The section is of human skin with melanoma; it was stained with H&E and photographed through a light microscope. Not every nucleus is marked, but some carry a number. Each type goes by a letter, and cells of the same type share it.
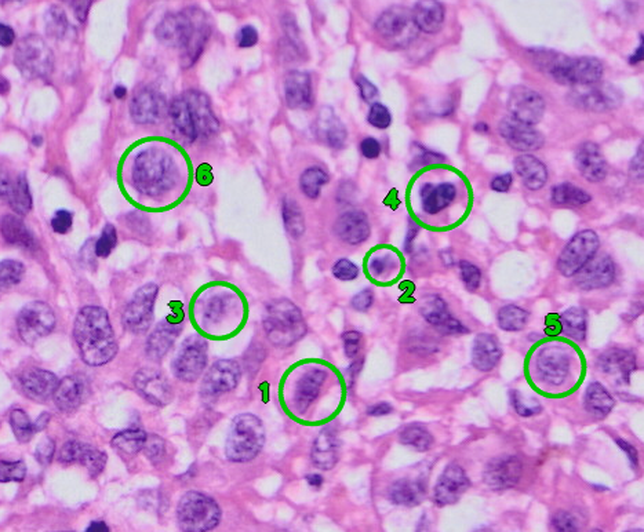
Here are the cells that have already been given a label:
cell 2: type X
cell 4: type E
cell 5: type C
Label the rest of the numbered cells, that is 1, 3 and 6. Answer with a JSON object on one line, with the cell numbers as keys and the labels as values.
{"1": "type C", "3": "type C", "6": "type C"}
